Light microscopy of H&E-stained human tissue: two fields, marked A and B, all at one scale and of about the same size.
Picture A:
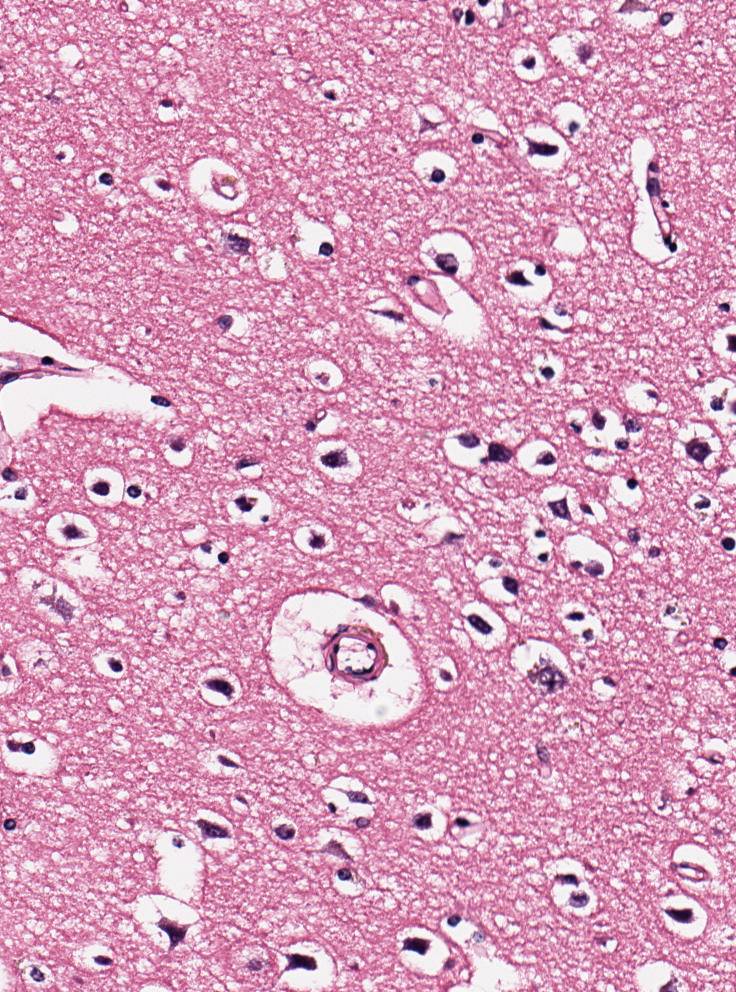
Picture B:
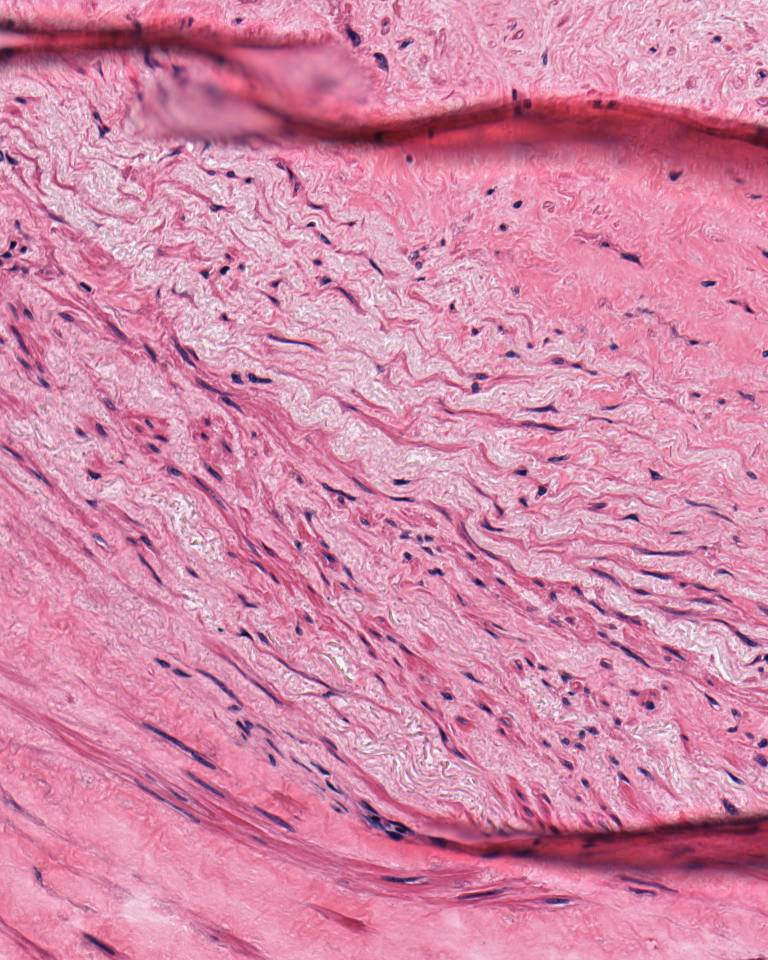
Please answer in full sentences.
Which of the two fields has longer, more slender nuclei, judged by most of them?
The nuclei are more elongated in picture B.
